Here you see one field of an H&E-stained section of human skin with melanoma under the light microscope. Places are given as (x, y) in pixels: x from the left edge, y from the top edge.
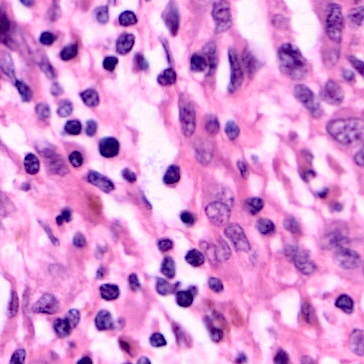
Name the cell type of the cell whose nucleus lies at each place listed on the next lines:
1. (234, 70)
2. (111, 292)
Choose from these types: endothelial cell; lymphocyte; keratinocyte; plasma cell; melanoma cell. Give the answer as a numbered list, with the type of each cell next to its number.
1. melanoma cell
2. lymphocyte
